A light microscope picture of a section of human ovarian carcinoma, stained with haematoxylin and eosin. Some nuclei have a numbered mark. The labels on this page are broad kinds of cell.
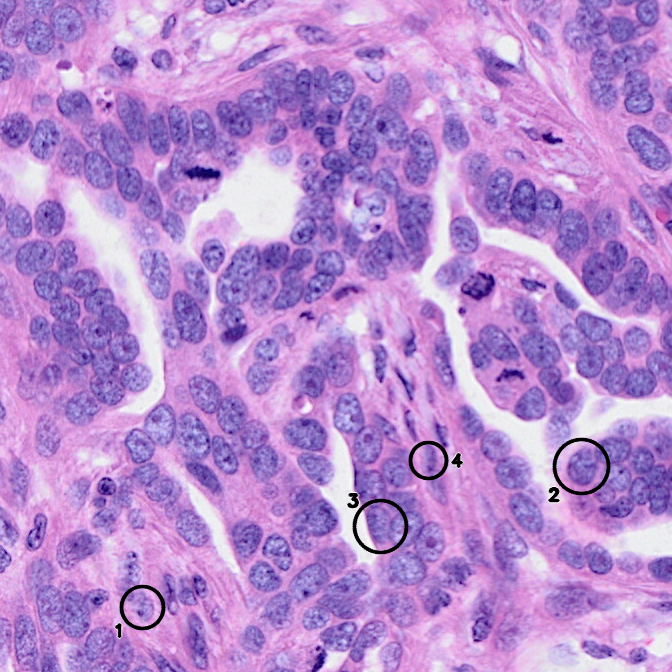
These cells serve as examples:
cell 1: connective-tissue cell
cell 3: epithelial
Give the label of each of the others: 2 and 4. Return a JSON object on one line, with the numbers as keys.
{"2": "epithelial", "4": "connective-tissue cell"}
